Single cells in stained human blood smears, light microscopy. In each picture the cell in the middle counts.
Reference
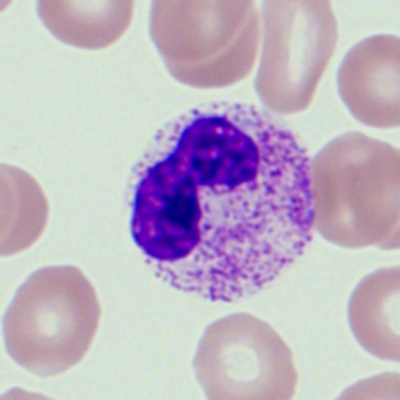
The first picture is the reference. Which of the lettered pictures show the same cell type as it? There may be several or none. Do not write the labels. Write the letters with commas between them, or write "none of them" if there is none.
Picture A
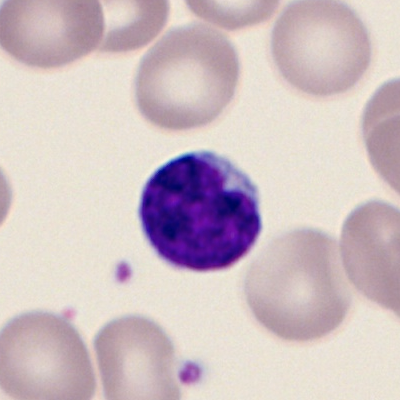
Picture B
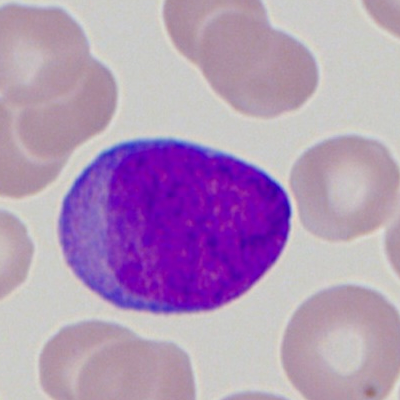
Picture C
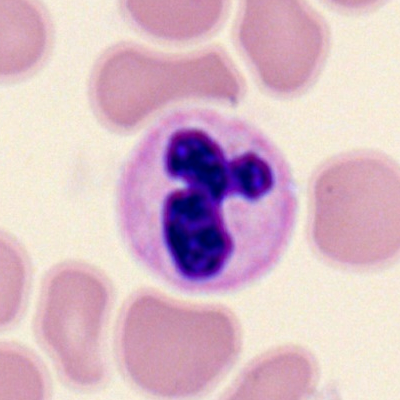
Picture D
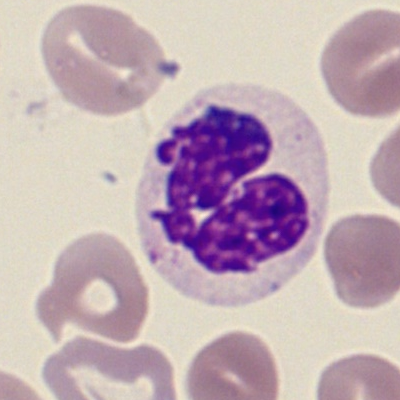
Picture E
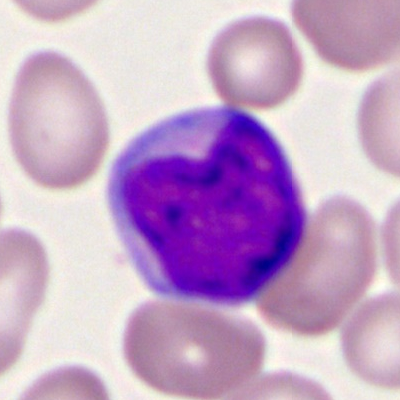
C, D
